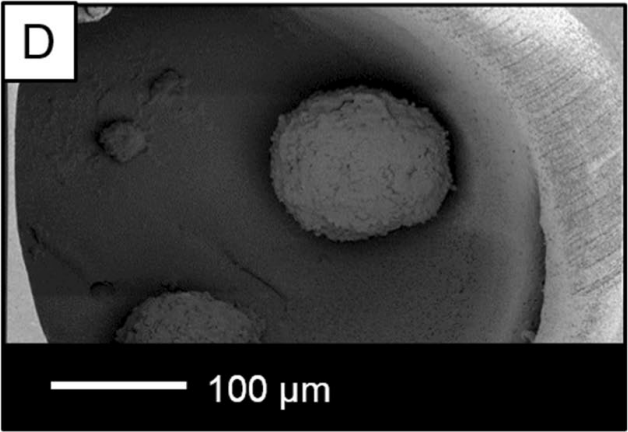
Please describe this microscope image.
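Aggregates of cells lie on the floor of a microwell seen at higher magnification. The well floor is smooth and dark, rising at the right into a curved, finely striated wall. A single large, nearly spherical aggregate sits near the centre, its surface rough and granular with a cobbled texture. A second aggregate of similar texture is partly visible at the lower edge. A few small irregular clumps lie on the floor at the upper left, and faint cracks run across the smooth floor.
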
